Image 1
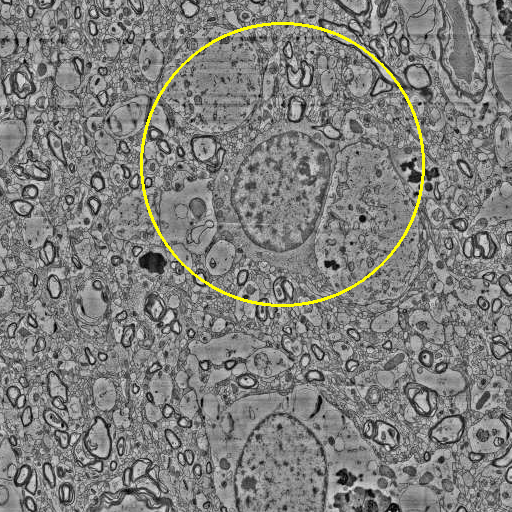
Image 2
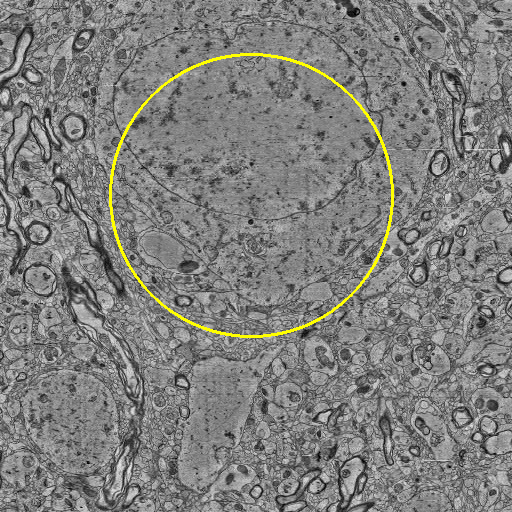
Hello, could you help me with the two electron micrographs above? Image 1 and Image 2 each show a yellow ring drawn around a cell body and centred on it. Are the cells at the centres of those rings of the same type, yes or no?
no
